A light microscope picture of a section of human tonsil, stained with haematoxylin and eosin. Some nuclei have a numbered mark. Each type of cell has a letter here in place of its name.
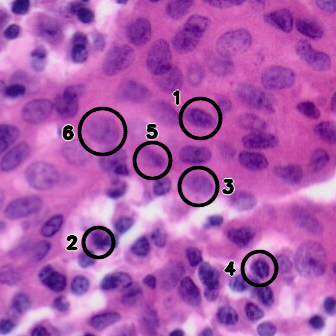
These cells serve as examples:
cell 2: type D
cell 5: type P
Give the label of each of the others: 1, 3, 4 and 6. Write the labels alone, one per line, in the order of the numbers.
type P
type P
type D
type P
